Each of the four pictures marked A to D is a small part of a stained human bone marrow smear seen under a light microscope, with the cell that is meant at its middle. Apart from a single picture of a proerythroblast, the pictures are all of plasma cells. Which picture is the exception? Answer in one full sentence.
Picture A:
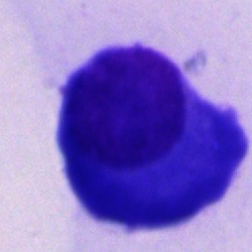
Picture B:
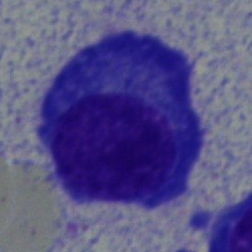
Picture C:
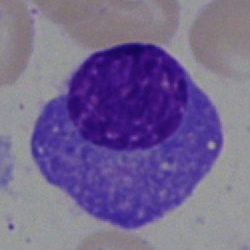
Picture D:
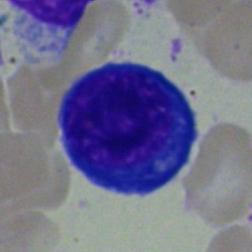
The picture with the proerythroblast is D.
